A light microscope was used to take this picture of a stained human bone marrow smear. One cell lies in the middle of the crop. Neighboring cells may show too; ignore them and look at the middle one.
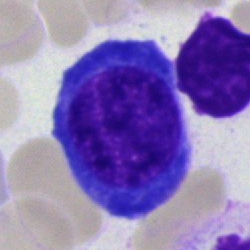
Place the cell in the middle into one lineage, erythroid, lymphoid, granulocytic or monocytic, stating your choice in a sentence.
Lineage-wise, the cell in the center of the crop is erythroid.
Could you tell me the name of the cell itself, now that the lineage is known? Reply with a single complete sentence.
The cell at the central position in this crop is an erythroblast.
